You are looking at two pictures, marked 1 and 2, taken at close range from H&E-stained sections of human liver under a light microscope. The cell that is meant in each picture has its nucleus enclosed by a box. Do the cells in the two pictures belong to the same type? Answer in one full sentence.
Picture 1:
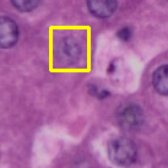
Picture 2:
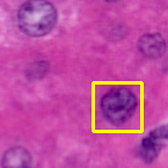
Yes, the two pictures both show hepatocytes.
